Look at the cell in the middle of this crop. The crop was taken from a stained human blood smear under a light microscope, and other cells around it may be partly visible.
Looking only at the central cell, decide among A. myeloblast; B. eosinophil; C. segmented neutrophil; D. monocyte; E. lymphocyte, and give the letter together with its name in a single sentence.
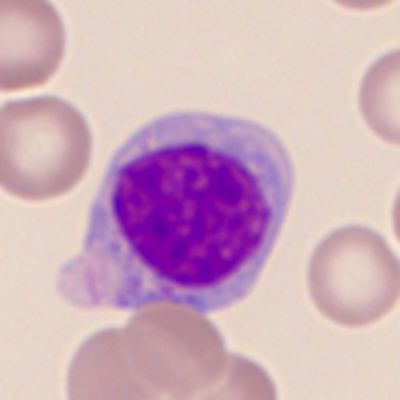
Here the right option is D, as the cell in the middle is a monocyte.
